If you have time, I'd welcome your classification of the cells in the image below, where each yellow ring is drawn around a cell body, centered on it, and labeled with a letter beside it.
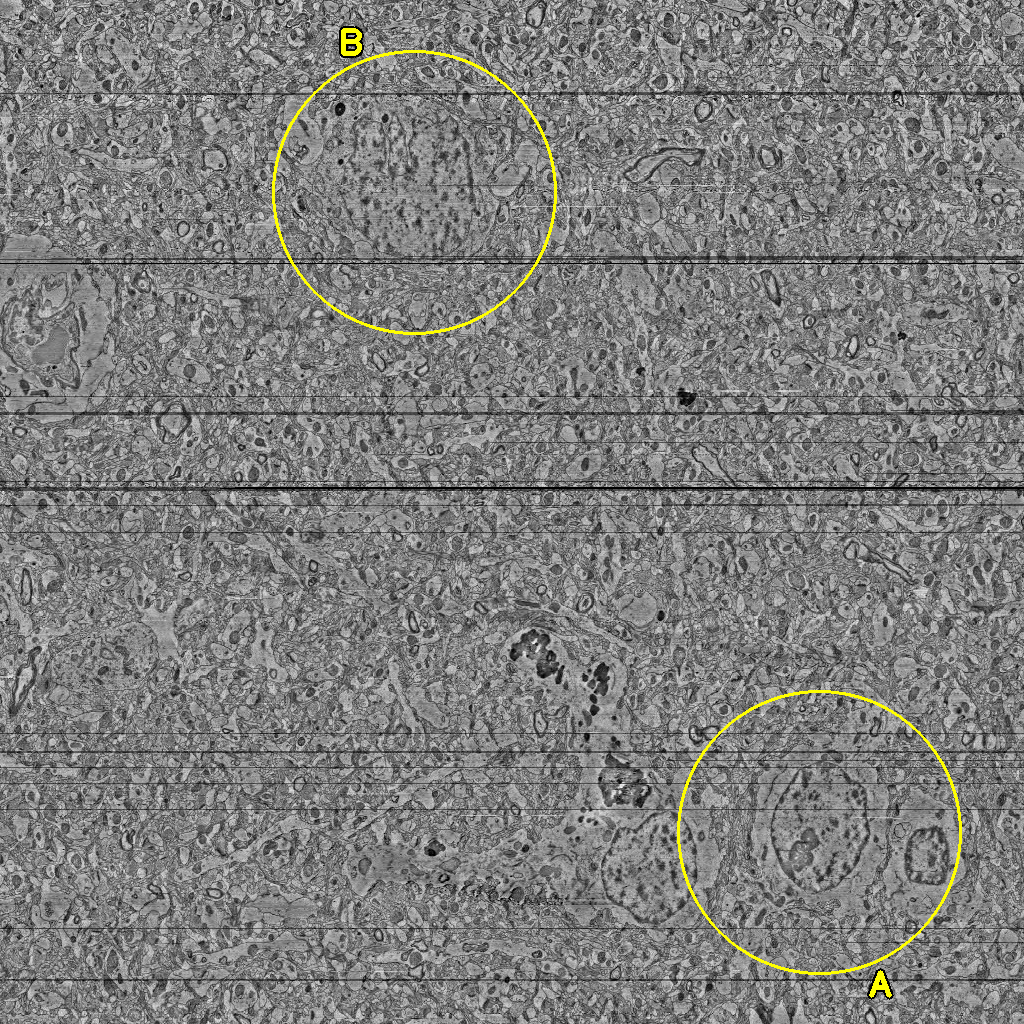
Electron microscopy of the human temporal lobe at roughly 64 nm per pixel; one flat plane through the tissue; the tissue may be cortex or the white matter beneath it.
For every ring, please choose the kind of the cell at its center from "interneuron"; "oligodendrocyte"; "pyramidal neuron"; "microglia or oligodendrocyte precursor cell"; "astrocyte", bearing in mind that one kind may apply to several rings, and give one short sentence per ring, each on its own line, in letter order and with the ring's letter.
At the center of ring A is an astrocyte.
At the center of ring B is an interneuron.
